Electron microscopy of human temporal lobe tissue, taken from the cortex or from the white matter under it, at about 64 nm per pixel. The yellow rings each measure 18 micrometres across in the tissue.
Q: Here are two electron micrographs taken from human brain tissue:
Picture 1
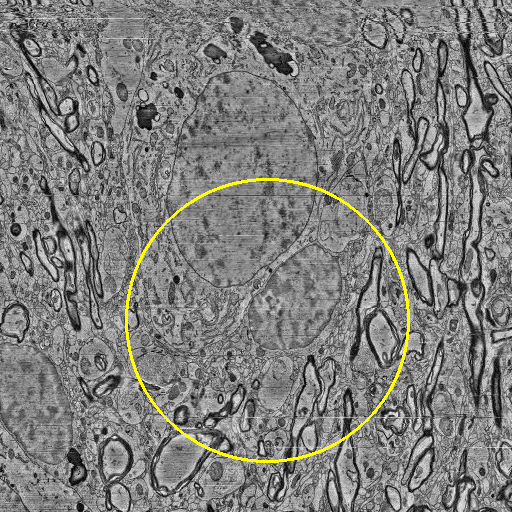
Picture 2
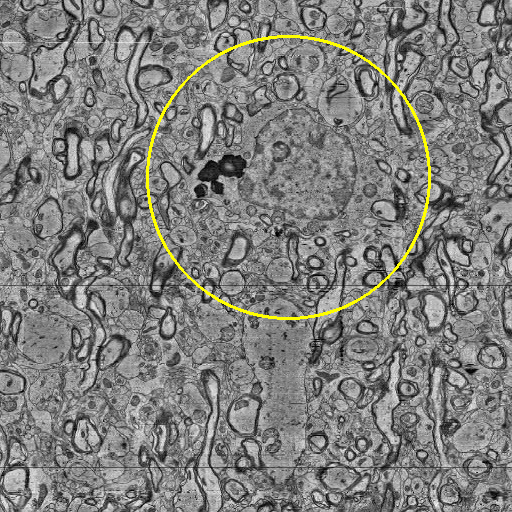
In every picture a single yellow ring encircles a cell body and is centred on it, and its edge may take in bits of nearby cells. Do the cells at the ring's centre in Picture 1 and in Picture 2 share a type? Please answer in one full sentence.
Yes, the cells at the ring's centre in Picture 1 and Picture 2 share a type.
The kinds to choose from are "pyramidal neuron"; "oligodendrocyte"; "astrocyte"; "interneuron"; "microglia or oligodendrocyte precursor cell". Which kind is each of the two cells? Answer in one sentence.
Each of the two pictures has an oligodendrocyte at the ring centre.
